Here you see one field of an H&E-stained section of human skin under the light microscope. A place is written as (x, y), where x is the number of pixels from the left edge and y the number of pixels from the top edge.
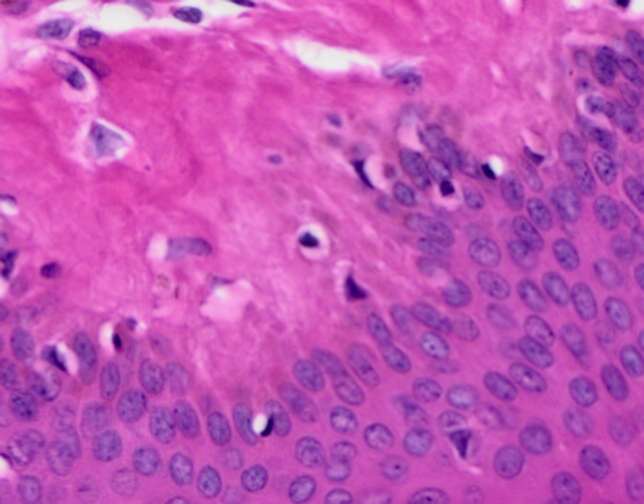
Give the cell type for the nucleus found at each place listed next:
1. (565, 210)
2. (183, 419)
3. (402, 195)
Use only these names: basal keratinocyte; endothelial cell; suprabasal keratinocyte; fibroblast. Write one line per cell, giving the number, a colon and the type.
1: suprabasal keratinocyte
2: basal keratinocyte
3: basal keratinocyte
